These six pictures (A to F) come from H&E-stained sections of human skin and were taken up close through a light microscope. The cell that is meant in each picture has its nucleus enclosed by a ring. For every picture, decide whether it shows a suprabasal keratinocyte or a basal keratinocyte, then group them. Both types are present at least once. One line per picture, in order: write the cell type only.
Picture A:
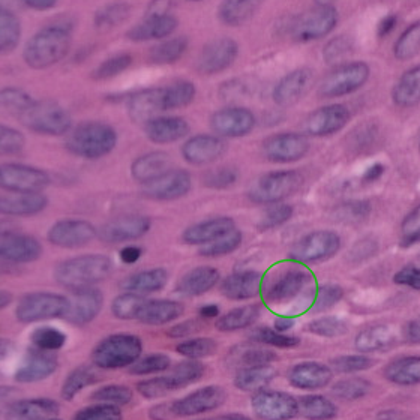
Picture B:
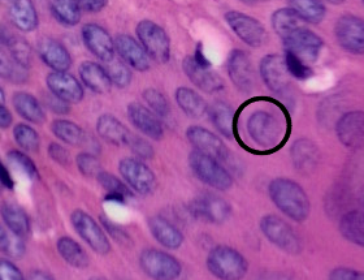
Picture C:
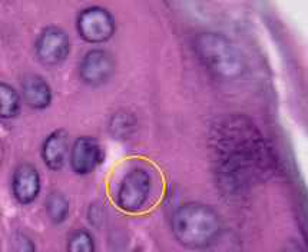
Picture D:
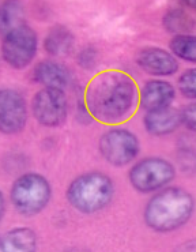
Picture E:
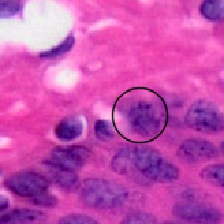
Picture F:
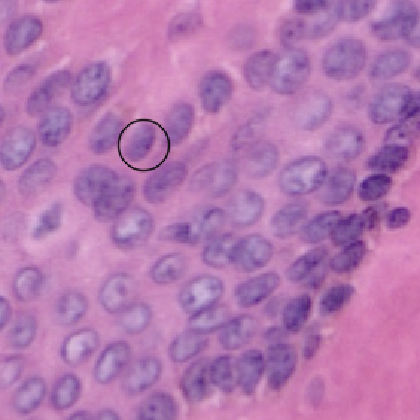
basal keratinocyte
suprabasal keratinocyte
suprabasal keratinocyte
basal keratinocyte
basal keratinocyte
basal keratinocyte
